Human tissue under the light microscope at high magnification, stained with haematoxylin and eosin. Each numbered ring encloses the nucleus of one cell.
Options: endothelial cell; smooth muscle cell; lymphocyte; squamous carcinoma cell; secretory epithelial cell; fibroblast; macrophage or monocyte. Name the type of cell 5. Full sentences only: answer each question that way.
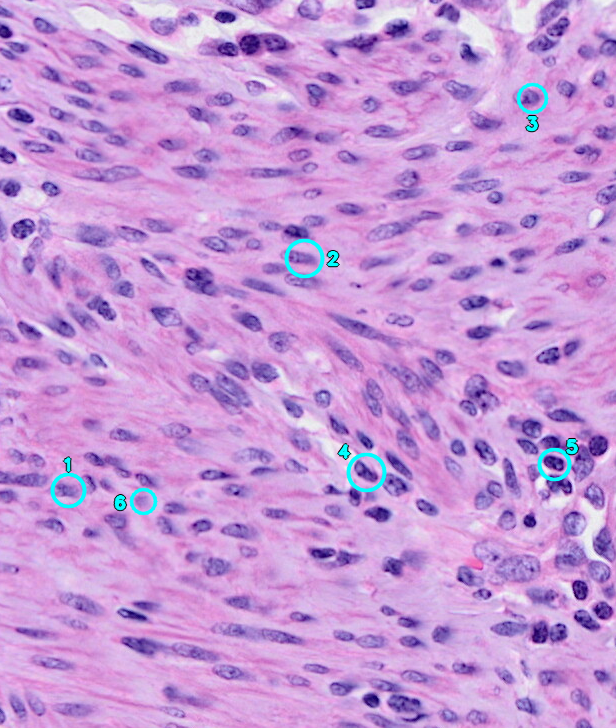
The cell tagged with 5 in this tissue section is a lymphocyte.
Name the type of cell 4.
The identity of cell 4 is that of a lymphocyte.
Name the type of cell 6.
Here the cell numbered 6 is a smooth muscle cell.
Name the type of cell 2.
The cell indicated by marker 2 is a smooth muscle cell in this section.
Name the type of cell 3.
In the tissue shown, cell 3 is a smooth muscle cell.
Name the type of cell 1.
Recognised here as a smooth muscle cell is the cell numbered 1.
